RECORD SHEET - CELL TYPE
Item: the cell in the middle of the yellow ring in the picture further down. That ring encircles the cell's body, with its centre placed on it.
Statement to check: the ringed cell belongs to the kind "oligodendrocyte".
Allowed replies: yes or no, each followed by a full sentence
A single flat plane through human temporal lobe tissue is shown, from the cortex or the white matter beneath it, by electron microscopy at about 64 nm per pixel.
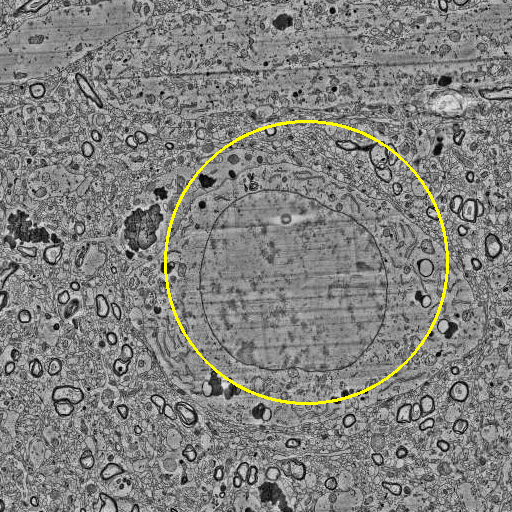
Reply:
No, the cell held at the centre of the ring in the picture is of a different kind.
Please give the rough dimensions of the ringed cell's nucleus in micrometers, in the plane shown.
The nucleus is about 12 micrometres across in this plane.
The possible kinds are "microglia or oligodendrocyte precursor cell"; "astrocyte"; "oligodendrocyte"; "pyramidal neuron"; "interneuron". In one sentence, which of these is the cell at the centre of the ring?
The ring holds a pyramidal neuron at its centre.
